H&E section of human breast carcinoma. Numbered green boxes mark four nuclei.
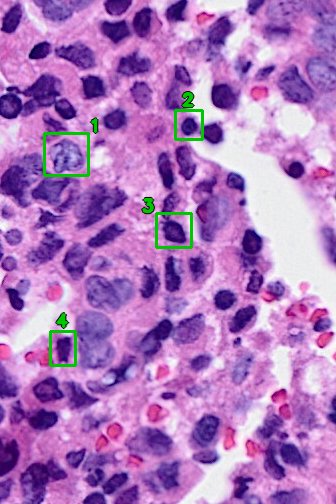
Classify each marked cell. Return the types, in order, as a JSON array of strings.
["carcinoma cell", "lymphocyte", "carcinoma cell", "carcinoma cell"]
